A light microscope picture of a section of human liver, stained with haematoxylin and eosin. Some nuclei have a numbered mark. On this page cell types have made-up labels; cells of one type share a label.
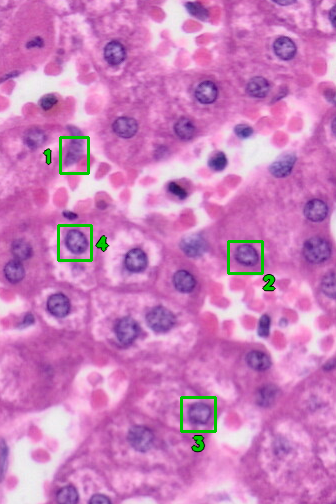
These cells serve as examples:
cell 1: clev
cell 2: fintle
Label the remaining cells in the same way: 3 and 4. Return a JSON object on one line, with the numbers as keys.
{"3": "fintle", "4": "fintle"}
